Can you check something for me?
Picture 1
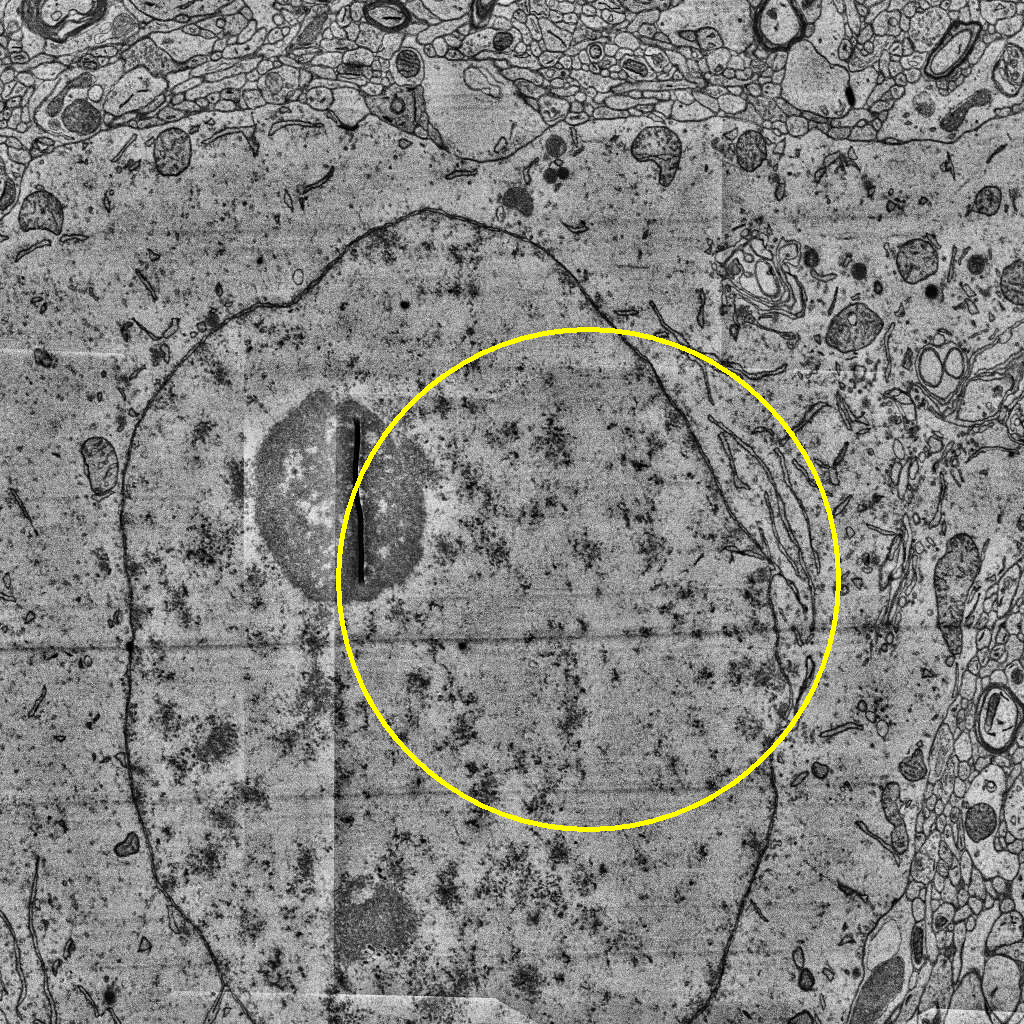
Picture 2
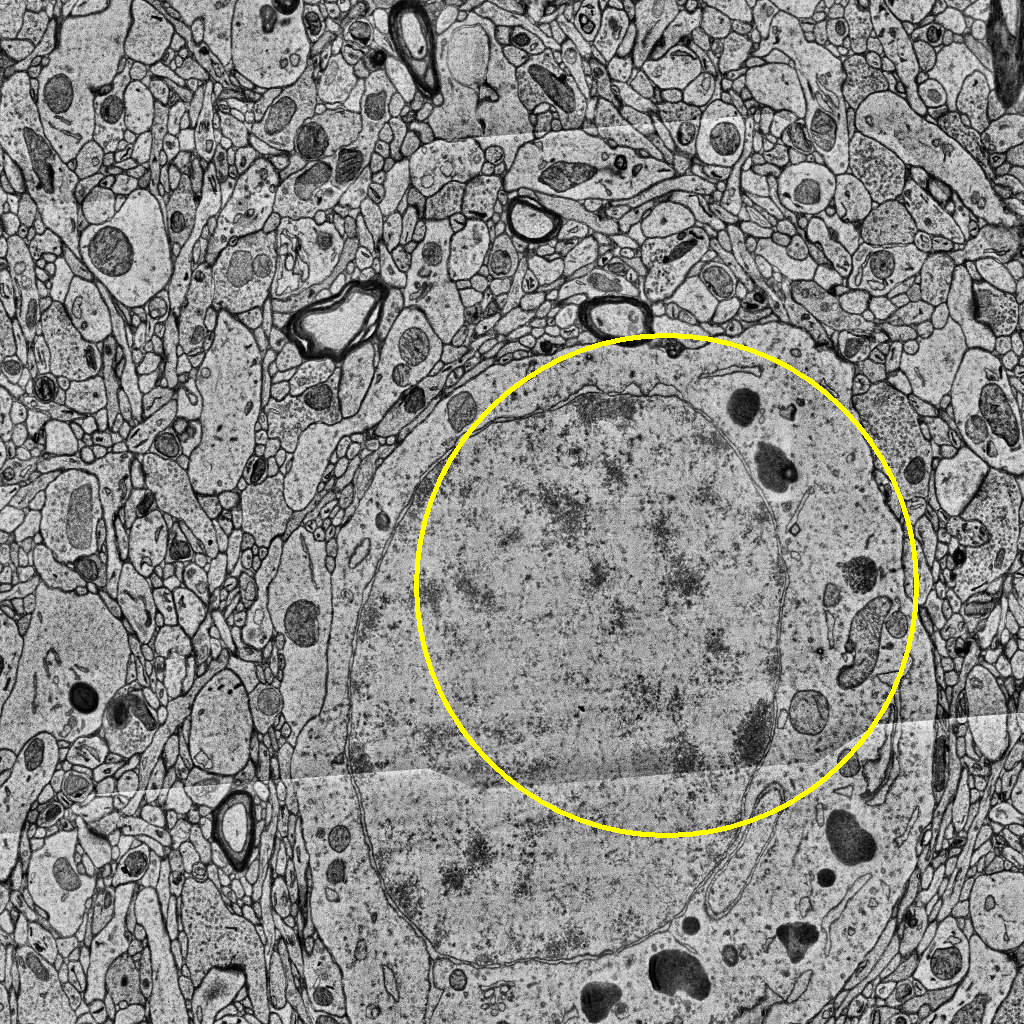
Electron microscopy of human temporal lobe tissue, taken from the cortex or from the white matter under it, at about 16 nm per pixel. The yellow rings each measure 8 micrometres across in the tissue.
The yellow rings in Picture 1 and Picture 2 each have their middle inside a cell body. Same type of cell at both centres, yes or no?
no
